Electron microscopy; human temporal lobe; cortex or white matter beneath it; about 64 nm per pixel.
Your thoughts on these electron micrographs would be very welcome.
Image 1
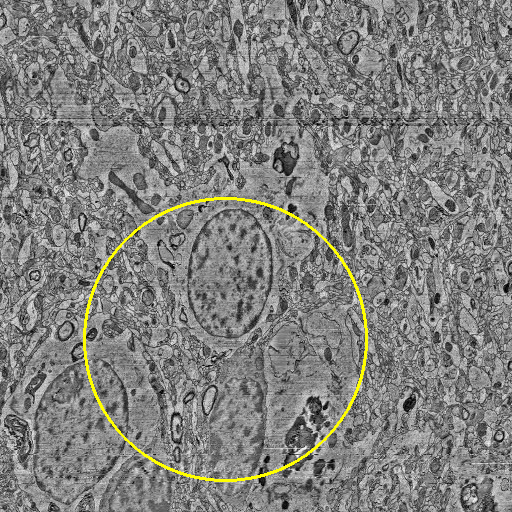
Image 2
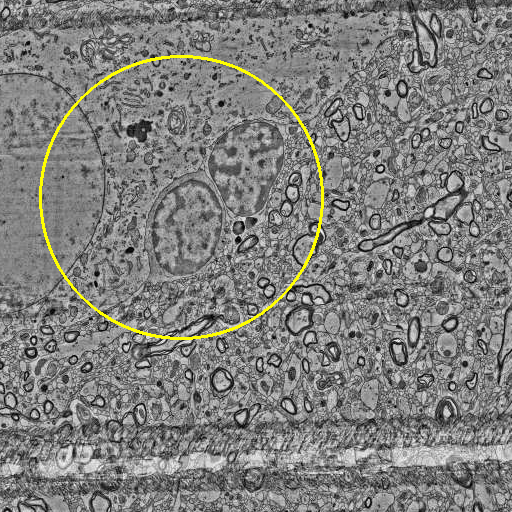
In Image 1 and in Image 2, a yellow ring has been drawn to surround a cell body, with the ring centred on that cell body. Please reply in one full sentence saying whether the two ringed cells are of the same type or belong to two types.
The ringed cells in Image 1 and Image 2 belong to two types.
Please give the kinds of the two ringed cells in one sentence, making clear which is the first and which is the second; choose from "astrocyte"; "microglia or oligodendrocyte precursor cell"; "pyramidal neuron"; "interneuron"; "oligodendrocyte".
In the second picture the ringed cell is an oligodendrocyte; in the first it is an astrocyte.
